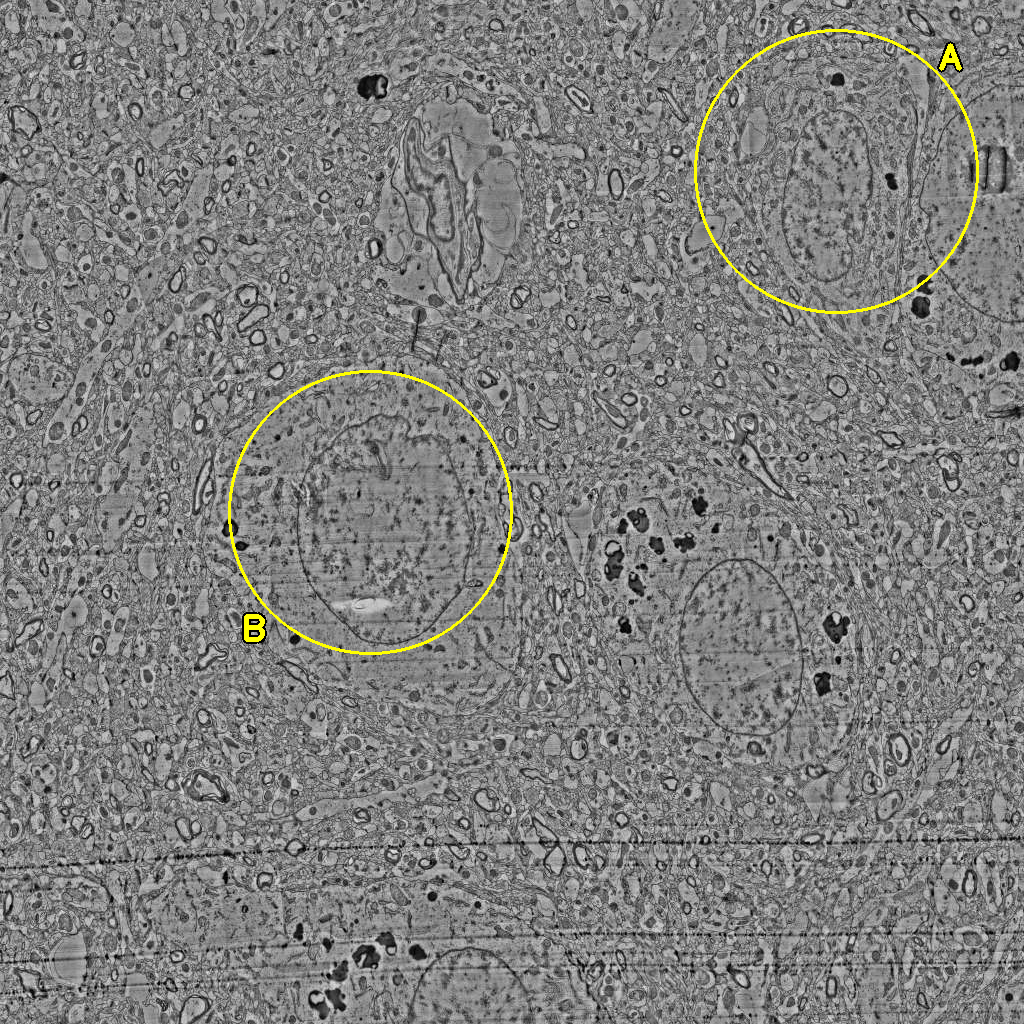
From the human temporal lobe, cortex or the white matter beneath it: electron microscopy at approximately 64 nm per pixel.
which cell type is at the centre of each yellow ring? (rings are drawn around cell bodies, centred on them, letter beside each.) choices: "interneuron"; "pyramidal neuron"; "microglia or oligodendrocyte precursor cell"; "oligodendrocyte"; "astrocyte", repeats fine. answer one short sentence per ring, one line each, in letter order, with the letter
Ring A is an interneuron.
Ring B is a pyramidal neuron.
